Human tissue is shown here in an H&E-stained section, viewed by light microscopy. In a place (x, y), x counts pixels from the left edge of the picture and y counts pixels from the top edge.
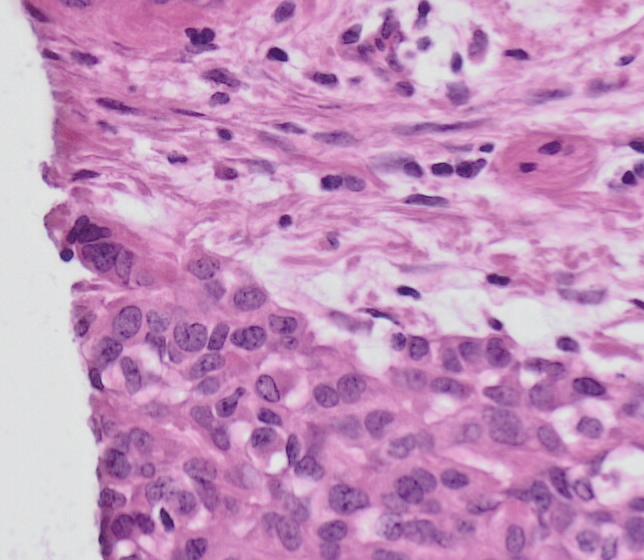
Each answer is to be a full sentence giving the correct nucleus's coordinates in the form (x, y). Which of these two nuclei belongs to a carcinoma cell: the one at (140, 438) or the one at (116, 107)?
Of the two candidate nuclei, the one at (140, 438) is that of a carcinoma cell.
